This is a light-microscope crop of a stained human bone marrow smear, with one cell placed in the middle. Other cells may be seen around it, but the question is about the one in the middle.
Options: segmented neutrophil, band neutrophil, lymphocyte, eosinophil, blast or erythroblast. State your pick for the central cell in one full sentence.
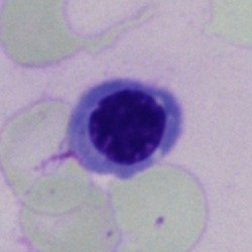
Here the cell in the middle is an erythroblast.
